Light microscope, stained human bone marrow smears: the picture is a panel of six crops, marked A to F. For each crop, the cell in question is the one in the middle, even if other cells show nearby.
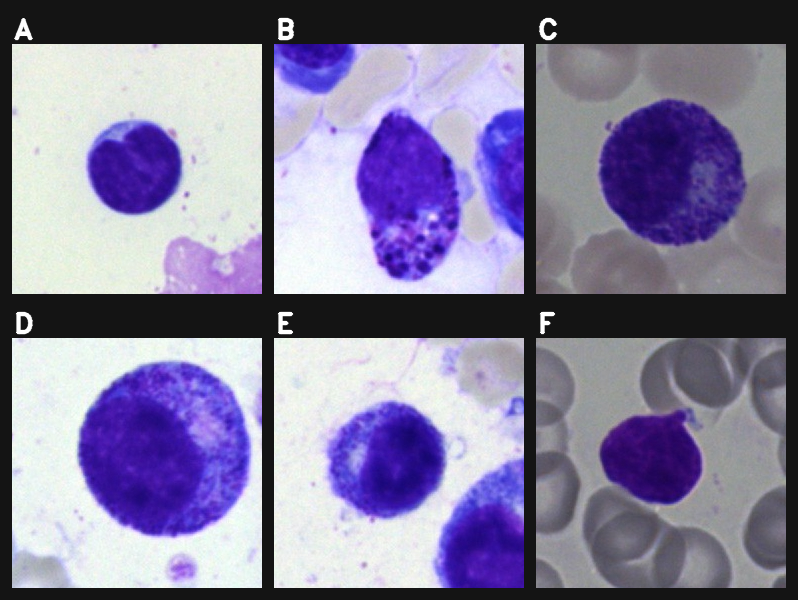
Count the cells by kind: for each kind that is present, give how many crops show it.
myelocyte: 3
lymphocyte: 2
basophil: 1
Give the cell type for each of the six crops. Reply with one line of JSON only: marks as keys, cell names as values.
{"A": "lymphocyte", "B": "basophil", "C": "myelocyte", "D": "myelocyte", "E": "myelocyte", "F": "lymphocyte"}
